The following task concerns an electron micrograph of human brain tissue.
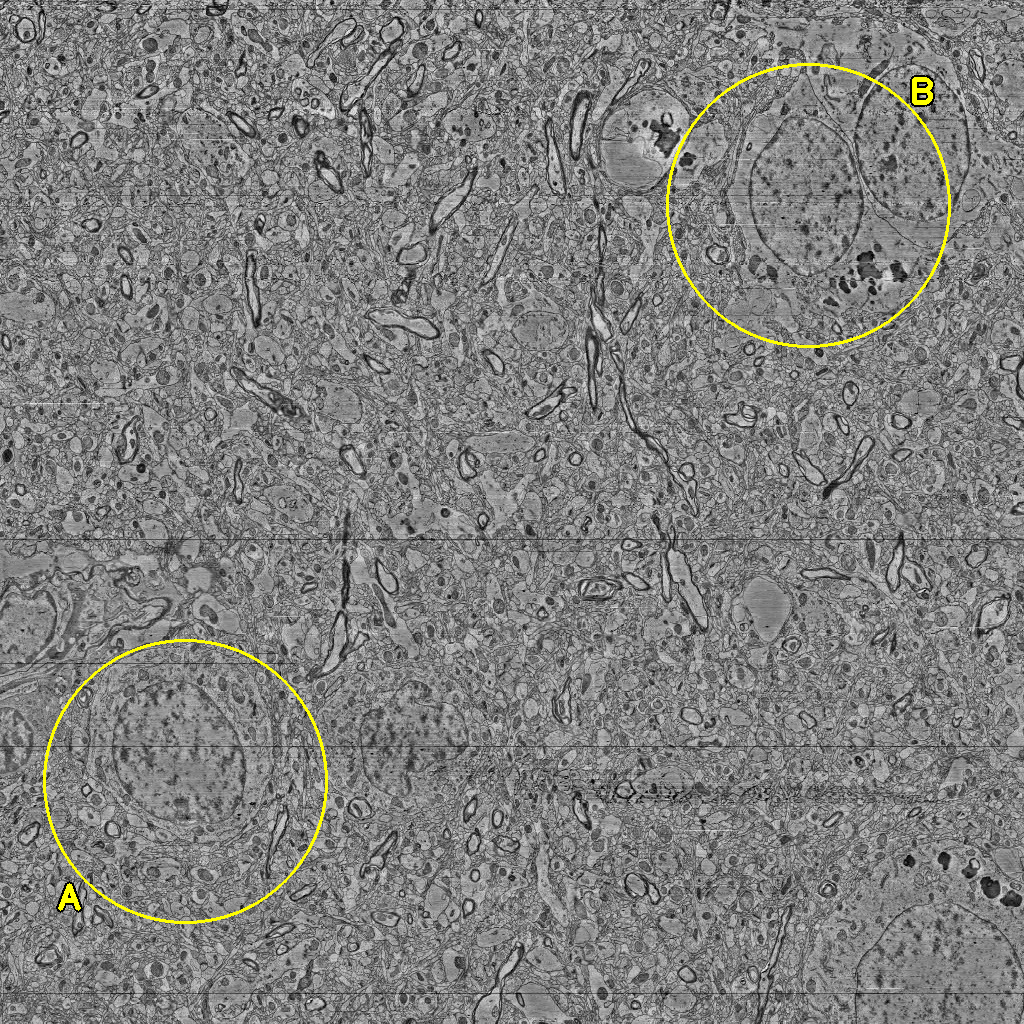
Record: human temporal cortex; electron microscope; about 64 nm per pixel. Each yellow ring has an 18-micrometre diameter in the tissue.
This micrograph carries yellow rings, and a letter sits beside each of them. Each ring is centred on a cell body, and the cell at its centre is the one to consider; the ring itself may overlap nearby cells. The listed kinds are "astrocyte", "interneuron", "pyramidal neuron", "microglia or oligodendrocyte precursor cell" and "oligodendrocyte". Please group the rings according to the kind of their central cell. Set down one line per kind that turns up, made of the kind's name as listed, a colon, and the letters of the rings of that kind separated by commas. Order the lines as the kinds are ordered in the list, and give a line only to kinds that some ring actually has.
astrocyte: B
interneuron: A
